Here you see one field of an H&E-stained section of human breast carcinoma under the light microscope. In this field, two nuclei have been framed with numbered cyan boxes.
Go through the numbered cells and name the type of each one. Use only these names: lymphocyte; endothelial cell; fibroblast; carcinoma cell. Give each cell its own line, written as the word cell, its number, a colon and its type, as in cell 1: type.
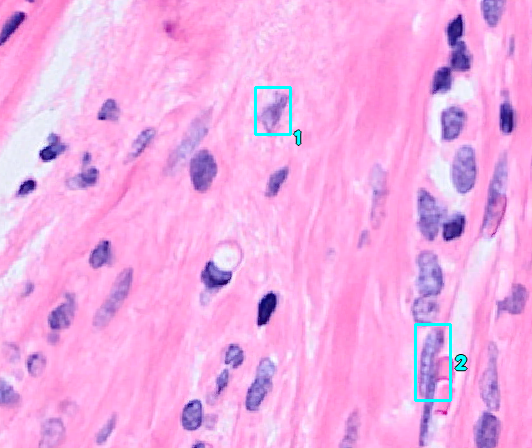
cell 1: fibroblast
cell 2: endothelial cell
